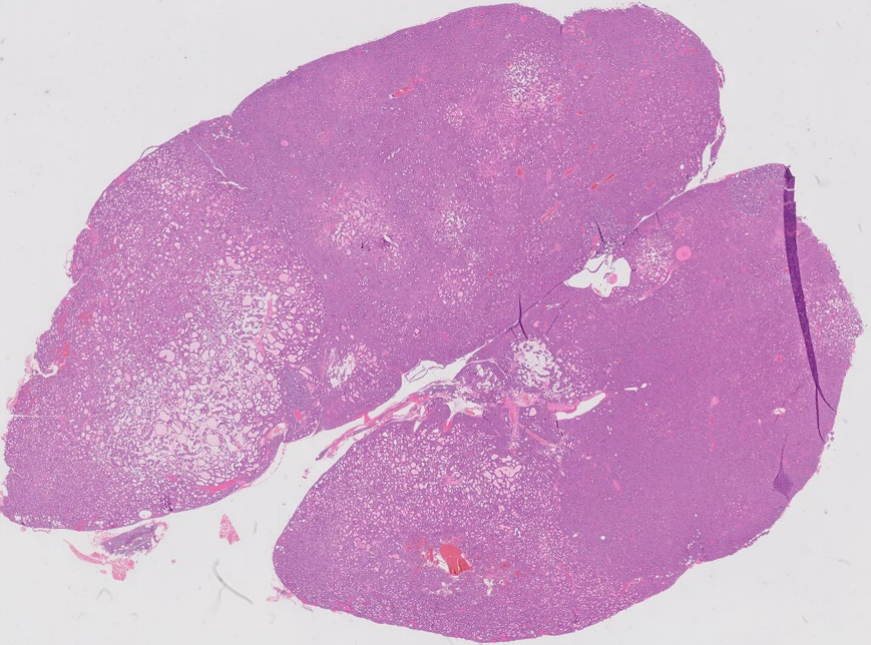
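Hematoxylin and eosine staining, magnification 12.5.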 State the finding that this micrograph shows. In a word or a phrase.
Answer: partly solid, partly follicular growth pattern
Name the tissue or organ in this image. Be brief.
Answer: parathyroid tissue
